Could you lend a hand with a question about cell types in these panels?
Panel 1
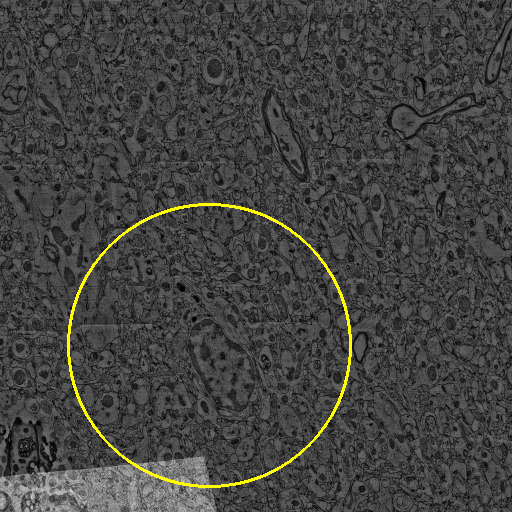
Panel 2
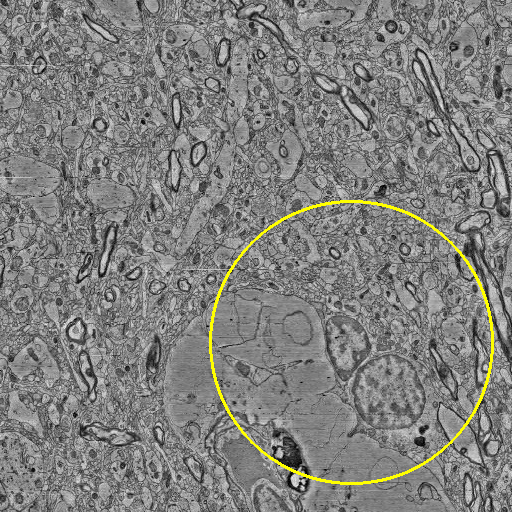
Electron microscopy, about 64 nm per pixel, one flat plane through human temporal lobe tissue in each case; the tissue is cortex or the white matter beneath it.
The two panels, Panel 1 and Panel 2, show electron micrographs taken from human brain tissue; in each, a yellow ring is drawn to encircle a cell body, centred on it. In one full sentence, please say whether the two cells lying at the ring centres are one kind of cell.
Yes, the cells at the ring centres in the two panels are one kind of cell.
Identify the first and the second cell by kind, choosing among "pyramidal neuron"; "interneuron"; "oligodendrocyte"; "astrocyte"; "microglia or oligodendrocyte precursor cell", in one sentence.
In each picture the ringed cell is a microglial cell or oligodendrocyte precursor cell.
